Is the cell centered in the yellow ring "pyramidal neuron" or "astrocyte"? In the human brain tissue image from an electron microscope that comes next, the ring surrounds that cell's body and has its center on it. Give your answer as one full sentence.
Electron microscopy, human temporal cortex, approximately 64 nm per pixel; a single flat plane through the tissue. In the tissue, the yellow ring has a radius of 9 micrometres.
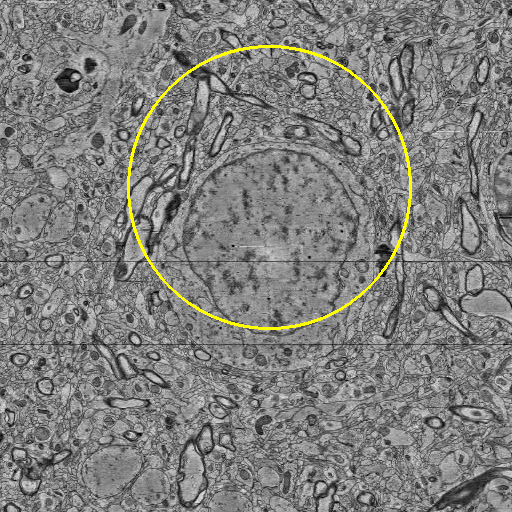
The cell at the center of the yellow ring is a pyramidal neuron in the micrograph.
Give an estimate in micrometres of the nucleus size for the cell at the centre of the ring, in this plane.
In this plane the nucleus measures roughly 12 micrometres across.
